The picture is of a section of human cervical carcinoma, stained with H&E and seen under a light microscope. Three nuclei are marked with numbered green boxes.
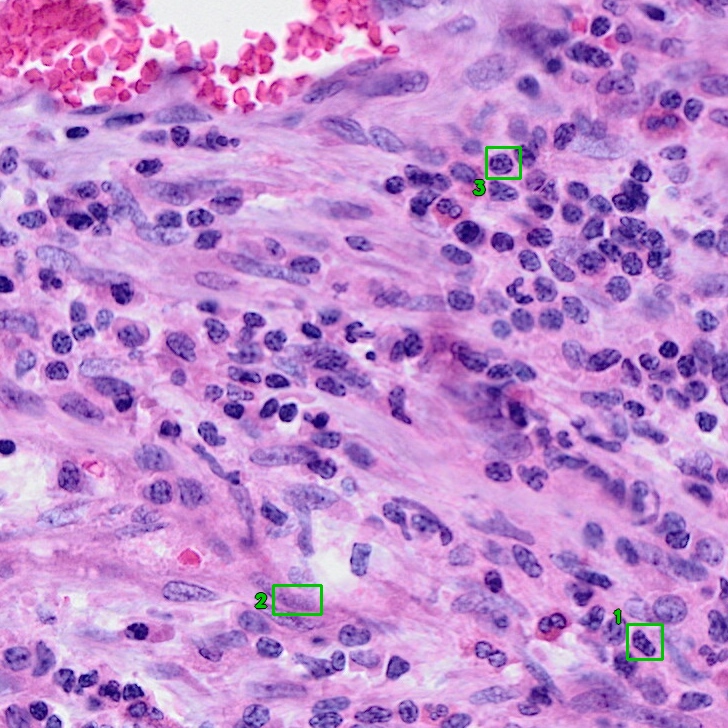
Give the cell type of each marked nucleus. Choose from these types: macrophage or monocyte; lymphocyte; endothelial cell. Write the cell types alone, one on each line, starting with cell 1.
lymphocyte
endothelial cell
lymphocyte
